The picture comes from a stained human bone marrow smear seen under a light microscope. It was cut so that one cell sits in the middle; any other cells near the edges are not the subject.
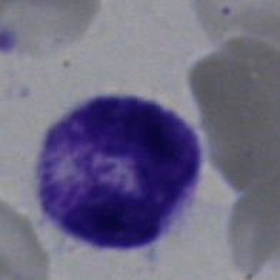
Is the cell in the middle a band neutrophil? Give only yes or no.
no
